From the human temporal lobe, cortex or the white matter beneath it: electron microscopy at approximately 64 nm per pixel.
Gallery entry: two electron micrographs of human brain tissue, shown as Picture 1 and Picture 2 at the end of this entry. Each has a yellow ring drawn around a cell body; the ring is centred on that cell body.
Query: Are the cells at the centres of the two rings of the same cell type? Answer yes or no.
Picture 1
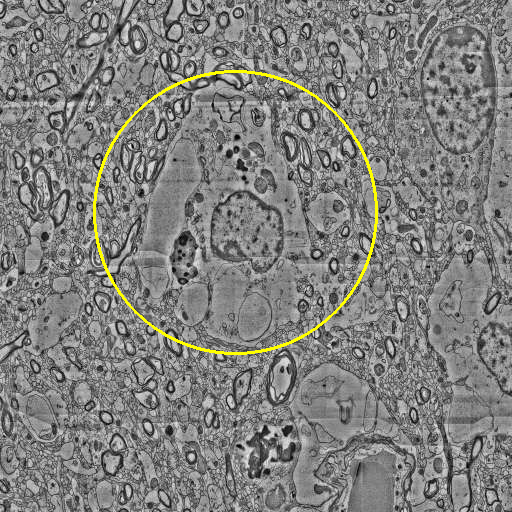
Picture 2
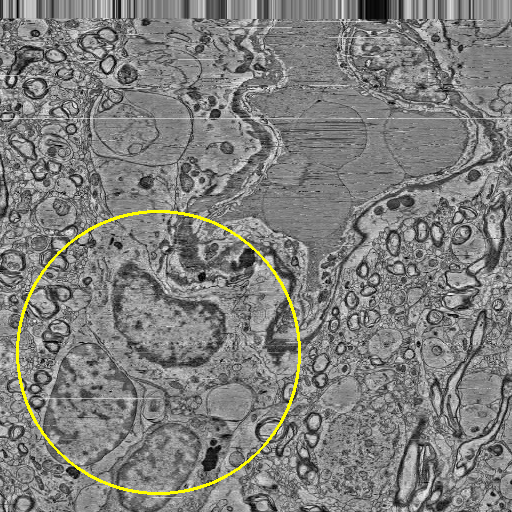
no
